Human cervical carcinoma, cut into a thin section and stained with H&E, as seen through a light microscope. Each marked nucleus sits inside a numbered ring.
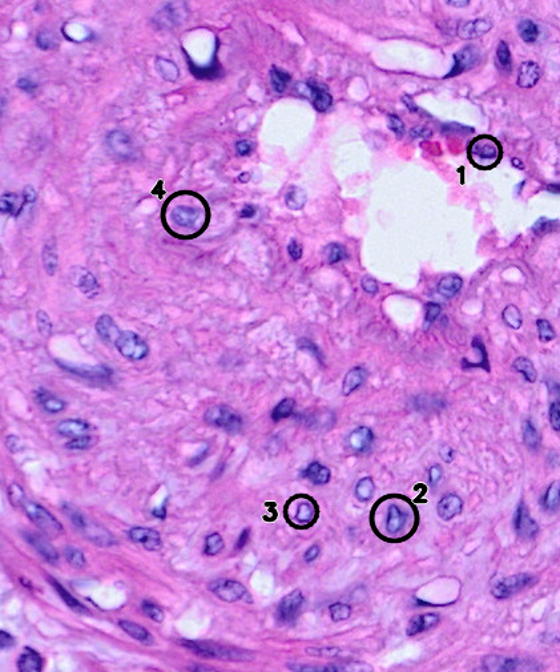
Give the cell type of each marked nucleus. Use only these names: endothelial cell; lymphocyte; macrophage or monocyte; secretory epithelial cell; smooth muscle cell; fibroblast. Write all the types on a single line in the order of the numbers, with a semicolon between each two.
endothelial cell; smooth muscle cell; smooth muscle cell; smooth muscle cell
